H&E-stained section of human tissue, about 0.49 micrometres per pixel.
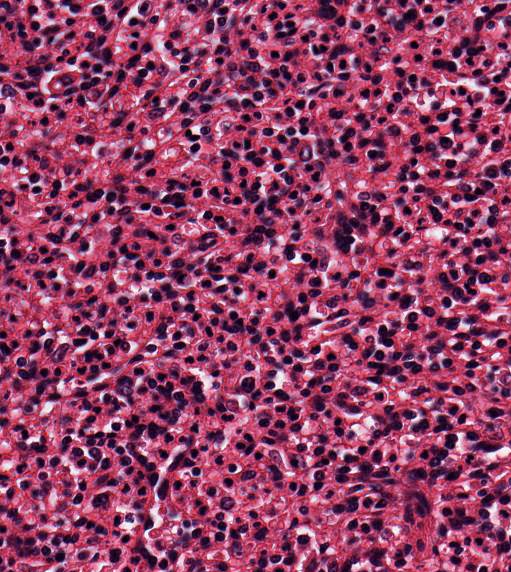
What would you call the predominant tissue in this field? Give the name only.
red pulp of the spleen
